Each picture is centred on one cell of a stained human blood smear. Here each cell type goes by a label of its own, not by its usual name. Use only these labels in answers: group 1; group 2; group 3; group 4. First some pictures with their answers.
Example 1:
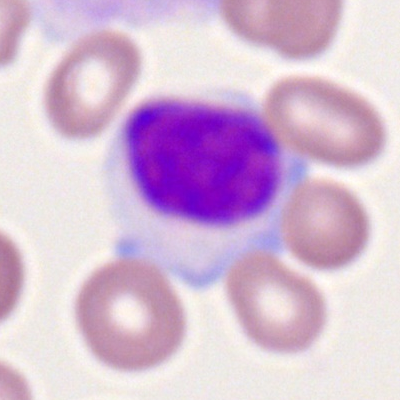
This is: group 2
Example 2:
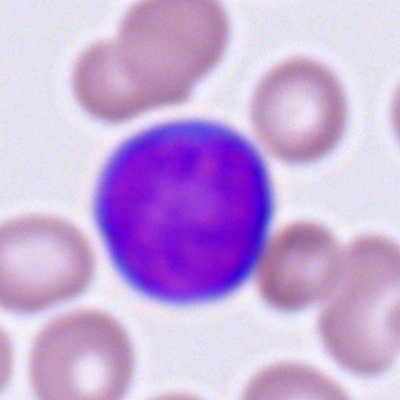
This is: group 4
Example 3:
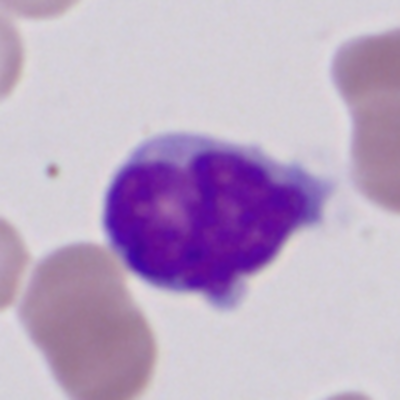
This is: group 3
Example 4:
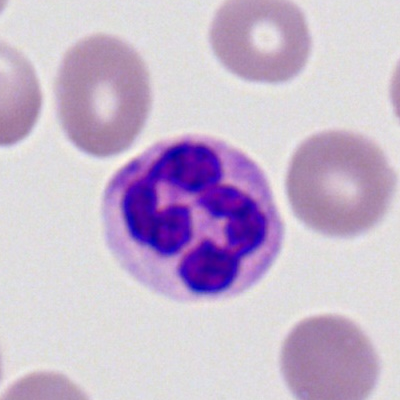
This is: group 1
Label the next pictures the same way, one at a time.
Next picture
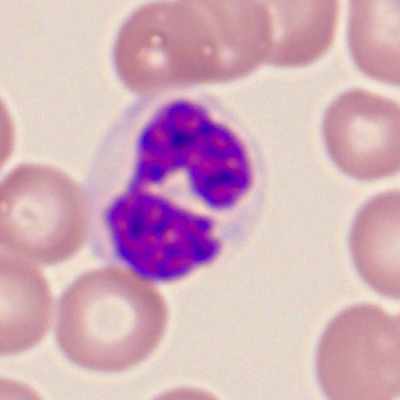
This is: group 1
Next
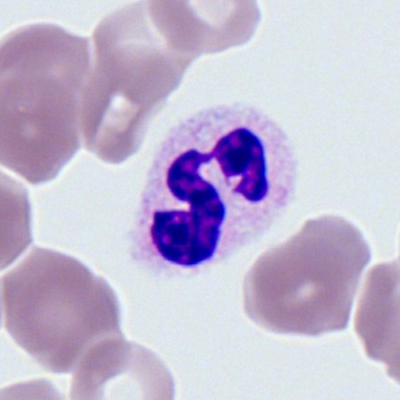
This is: group 1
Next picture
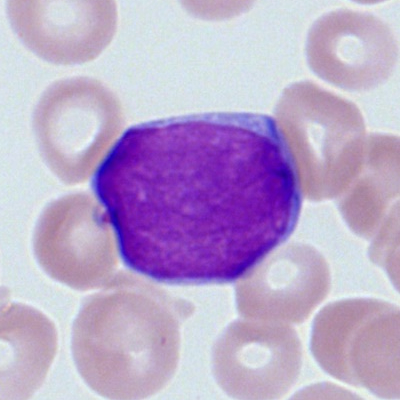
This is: group 4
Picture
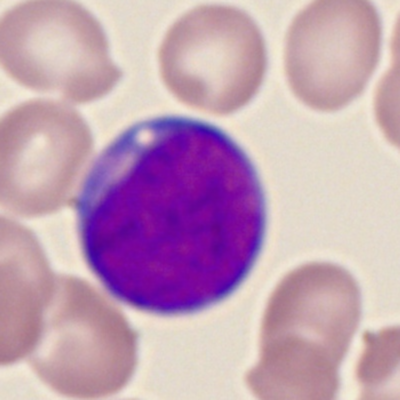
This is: group 4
